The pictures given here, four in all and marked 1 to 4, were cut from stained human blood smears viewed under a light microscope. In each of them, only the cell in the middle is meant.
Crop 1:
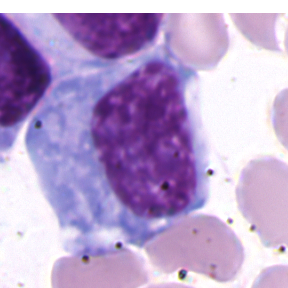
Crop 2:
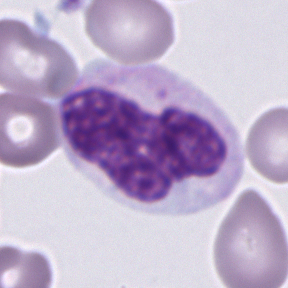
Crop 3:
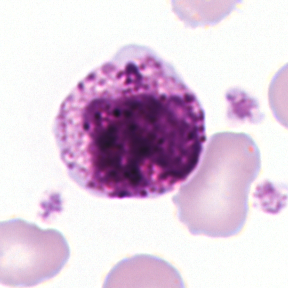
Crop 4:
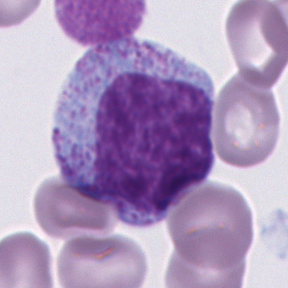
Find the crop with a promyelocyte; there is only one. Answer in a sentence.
Crop 4 is the one to choose: it shows a promyelocyte.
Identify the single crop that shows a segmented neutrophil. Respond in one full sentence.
On review of the set, crop 2 is the one showing a segmented neutrophil.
